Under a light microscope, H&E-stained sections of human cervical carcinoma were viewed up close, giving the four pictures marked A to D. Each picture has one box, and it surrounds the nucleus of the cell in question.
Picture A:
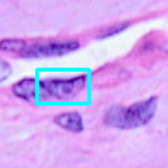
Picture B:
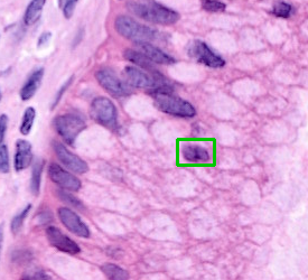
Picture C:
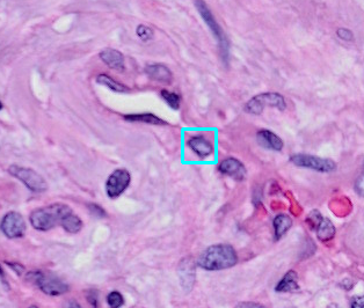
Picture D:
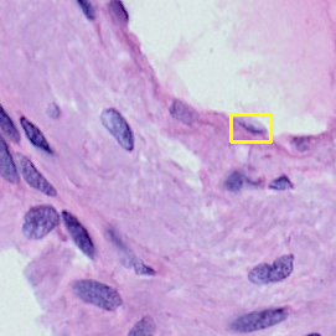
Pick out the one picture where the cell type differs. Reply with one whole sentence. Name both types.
Picture B is the odd one out: it shows a secretory epithelial cell, while the others show endothelial cells.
